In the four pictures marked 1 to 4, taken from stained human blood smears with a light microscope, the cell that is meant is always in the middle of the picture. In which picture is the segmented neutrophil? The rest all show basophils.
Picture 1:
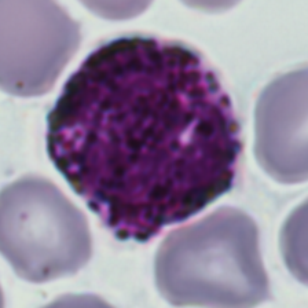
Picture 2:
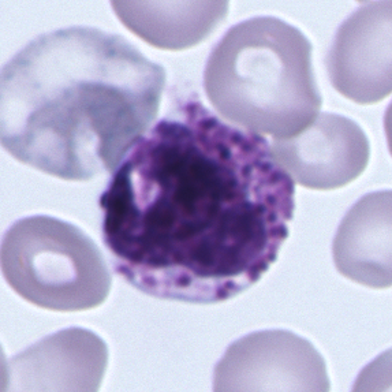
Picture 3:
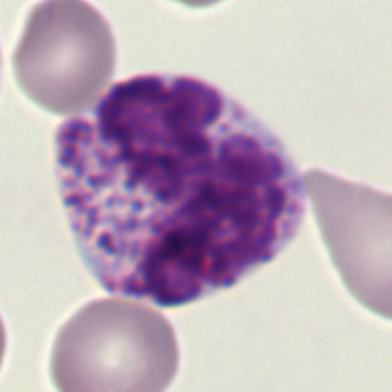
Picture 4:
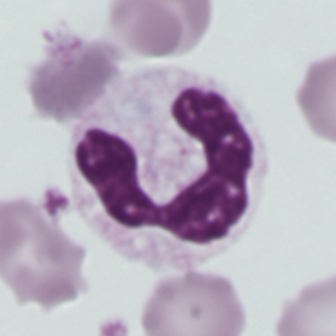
4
